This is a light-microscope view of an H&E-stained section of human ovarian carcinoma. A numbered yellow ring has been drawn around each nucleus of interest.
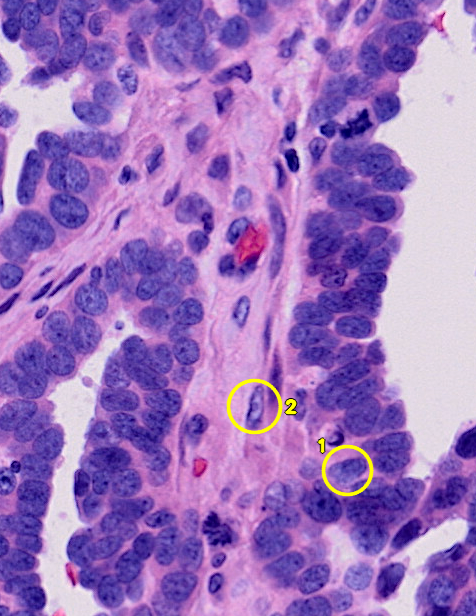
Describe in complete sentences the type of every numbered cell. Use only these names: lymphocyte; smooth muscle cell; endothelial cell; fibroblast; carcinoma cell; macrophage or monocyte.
Cell 1 is a carcinoma cell. Cell 2 is a fibroblast.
